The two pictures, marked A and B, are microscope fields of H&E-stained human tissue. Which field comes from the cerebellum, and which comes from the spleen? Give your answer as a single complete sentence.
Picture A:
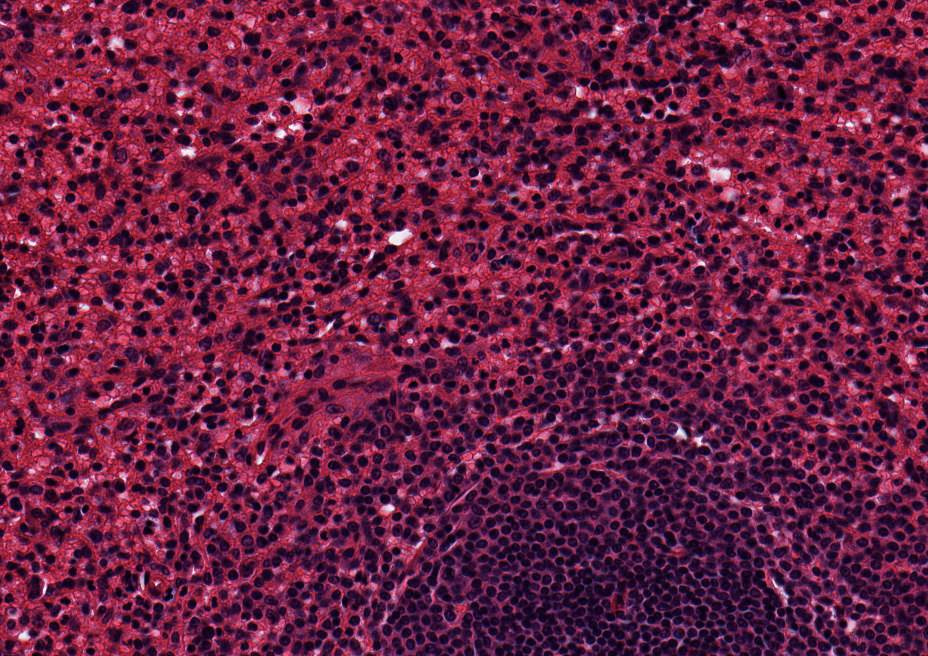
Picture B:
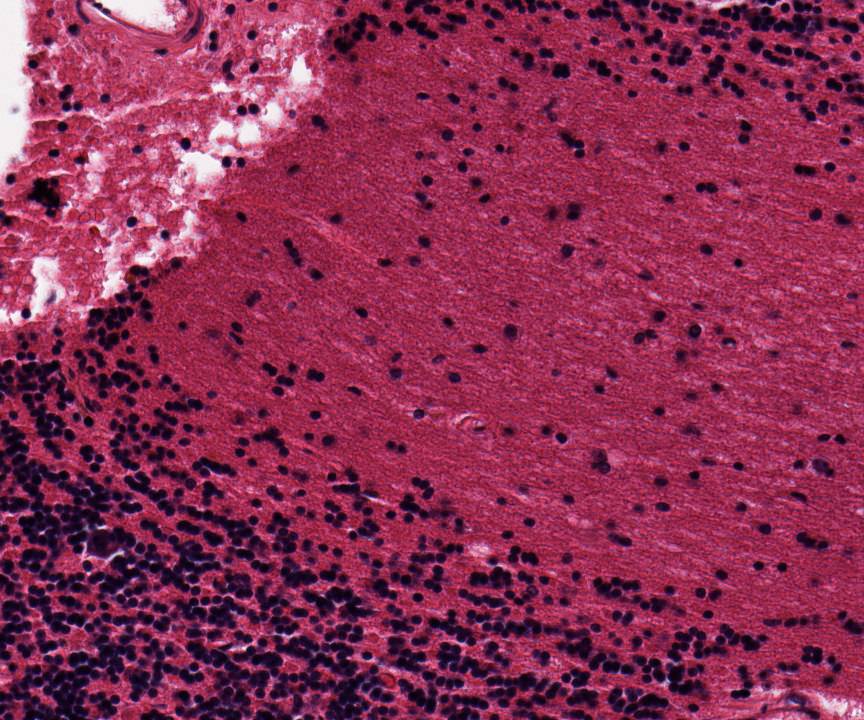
It is picture A that comes from the spleen, and picture B that comes from the cerebellum.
